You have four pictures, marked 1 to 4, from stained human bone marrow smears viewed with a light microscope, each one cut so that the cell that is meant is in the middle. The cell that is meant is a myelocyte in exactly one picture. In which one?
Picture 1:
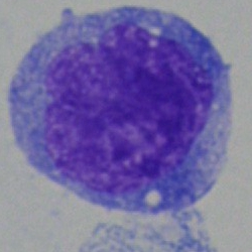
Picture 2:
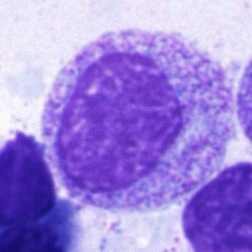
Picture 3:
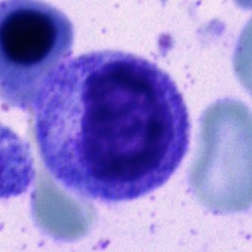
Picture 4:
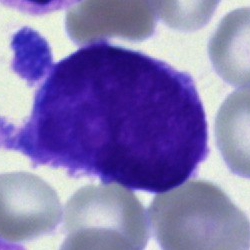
2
